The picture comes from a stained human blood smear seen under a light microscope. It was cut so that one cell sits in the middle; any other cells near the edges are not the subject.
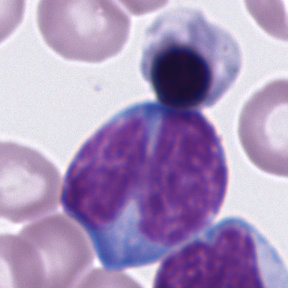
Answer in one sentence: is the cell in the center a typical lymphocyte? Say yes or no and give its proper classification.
No, that is not a typical lymphocyte; the middle cell is a myeloblast.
